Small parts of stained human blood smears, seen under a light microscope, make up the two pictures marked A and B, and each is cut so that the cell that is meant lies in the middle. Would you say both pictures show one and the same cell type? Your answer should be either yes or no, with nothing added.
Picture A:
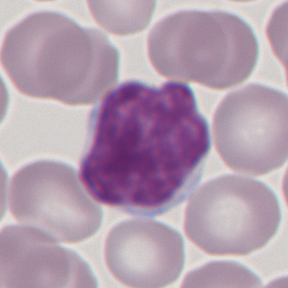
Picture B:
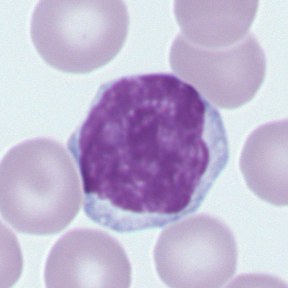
yes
